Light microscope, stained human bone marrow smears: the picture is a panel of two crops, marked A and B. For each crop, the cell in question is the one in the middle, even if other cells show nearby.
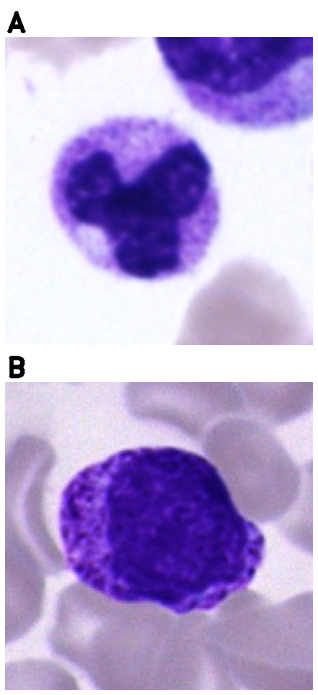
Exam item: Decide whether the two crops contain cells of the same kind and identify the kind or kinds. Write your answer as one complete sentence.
No, record crop A as a segmented neutrophil and crop B as a basophil.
